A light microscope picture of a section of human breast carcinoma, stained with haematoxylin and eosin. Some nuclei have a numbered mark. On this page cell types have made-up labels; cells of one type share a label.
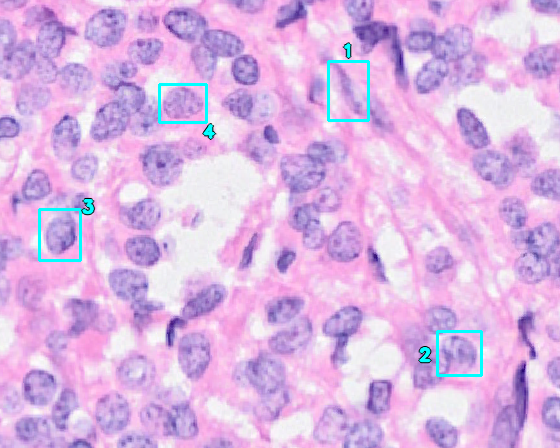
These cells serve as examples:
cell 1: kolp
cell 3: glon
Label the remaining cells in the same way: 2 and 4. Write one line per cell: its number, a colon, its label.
2: glon
4: glon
